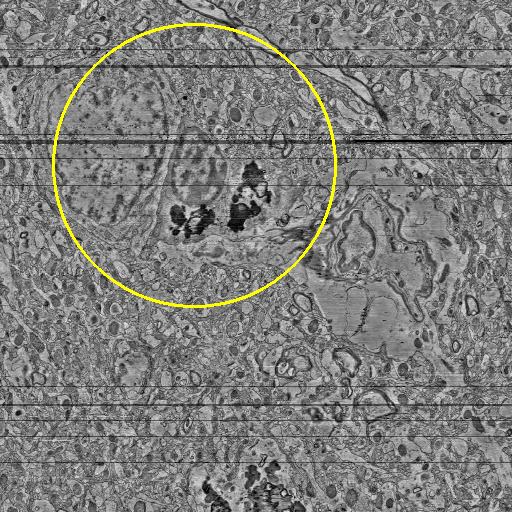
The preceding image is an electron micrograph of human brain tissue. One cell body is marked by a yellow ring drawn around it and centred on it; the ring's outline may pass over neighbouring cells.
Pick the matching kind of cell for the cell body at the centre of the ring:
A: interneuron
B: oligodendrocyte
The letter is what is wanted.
B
